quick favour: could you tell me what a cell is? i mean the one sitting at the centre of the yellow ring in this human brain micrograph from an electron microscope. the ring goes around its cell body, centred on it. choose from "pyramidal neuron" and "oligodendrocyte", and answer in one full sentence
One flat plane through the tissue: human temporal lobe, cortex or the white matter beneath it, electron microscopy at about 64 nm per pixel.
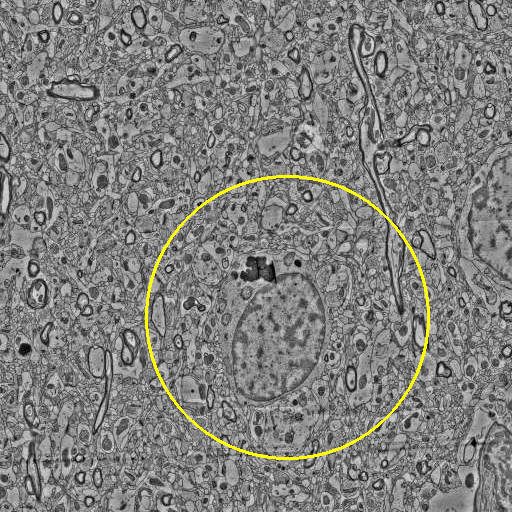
That's an oligodendrocyte, the cell sitting at the centre of the yellow ring.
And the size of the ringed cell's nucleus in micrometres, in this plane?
In this plane the nucleus measures about 9 by 5 micrometres and is clearly longer than it is wide.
